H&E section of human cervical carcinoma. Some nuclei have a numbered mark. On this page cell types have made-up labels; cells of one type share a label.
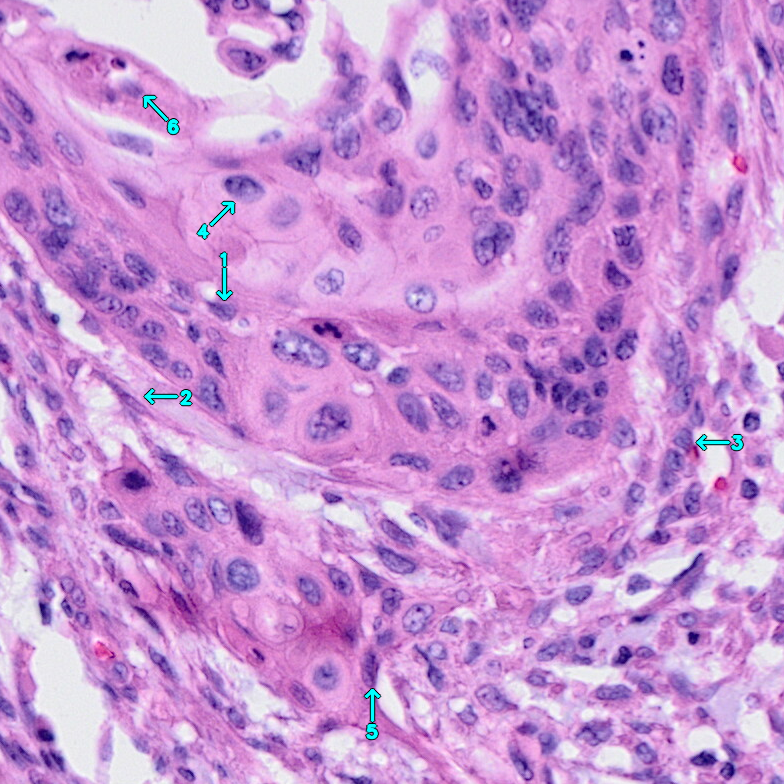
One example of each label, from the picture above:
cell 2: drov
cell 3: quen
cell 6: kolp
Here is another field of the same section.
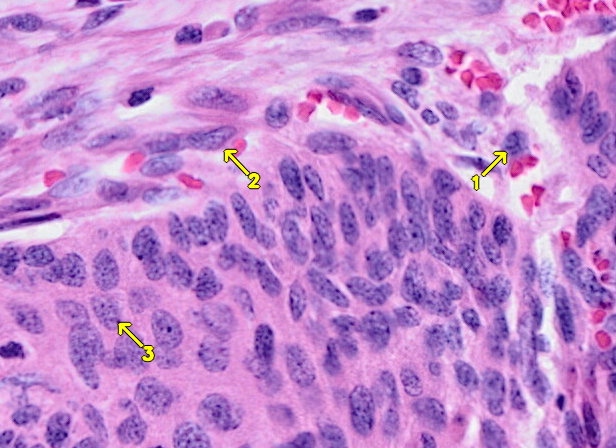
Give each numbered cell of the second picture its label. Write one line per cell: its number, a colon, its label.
1: quen
2: quen
3: kolp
